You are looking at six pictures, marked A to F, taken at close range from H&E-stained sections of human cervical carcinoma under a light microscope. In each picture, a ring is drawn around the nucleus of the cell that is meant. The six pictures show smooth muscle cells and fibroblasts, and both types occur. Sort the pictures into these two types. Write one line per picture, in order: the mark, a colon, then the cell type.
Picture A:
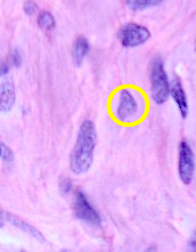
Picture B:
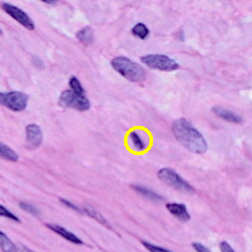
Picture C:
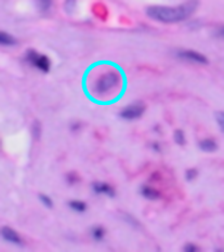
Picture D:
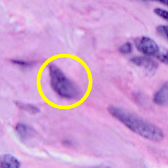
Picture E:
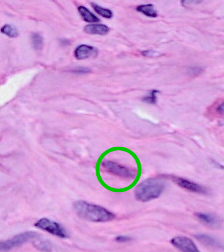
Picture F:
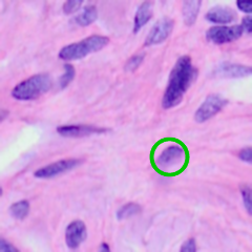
A: fibroblast
B: fibroblast
C: smooth muscle cell
D: fibroblast
E: smooth muscle cell
F: fibroblast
